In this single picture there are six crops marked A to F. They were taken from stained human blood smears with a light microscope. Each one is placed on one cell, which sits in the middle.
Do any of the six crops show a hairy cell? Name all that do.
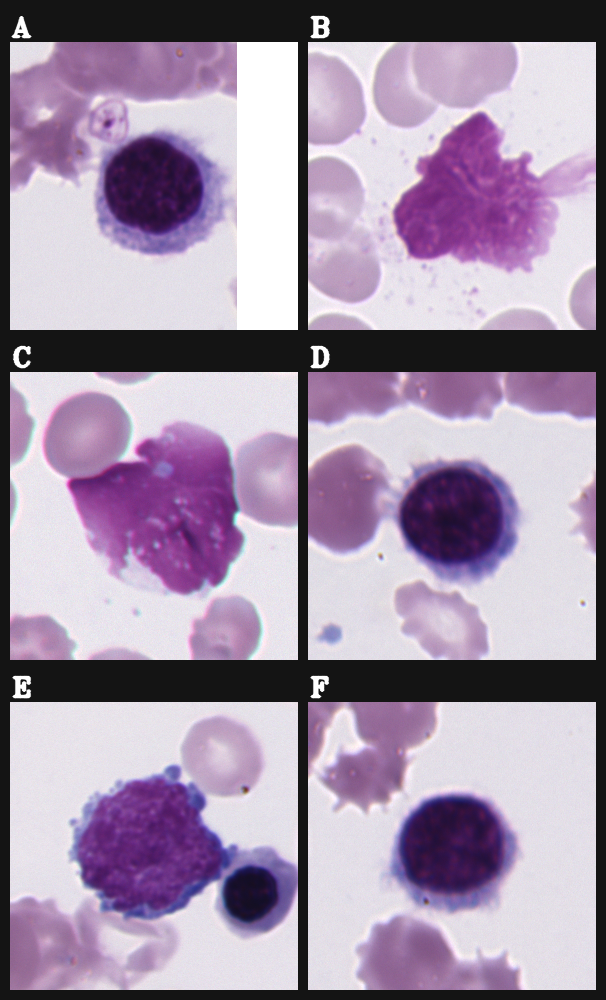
A, D, F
